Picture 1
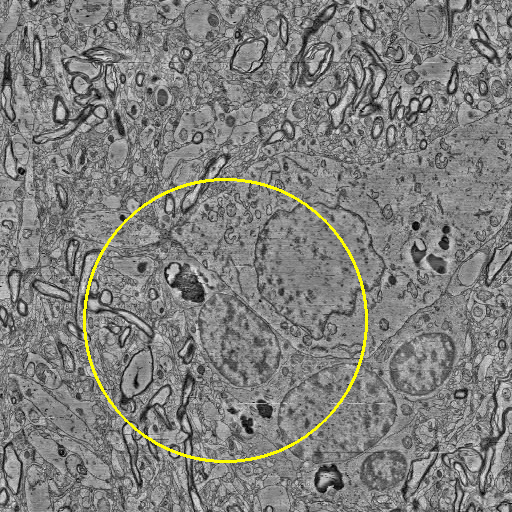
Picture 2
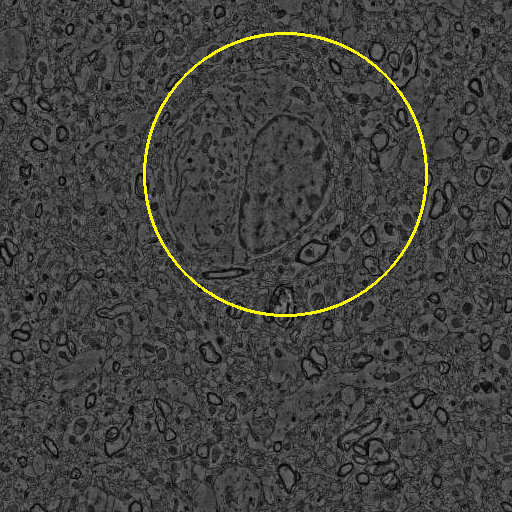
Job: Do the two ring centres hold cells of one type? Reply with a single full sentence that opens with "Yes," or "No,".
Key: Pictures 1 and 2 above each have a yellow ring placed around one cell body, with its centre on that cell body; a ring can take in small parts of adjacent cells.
No, the cells at the two ring centres are of two separate types.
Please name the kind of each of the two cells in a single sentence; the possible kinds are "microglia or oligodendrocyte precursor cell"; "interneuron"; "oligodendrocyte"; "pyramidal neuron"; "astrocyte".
In the first picture the ring is centred on an oligodendrocyte, and in the second on a microglial cell or oligodendrocyte precursor cell.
